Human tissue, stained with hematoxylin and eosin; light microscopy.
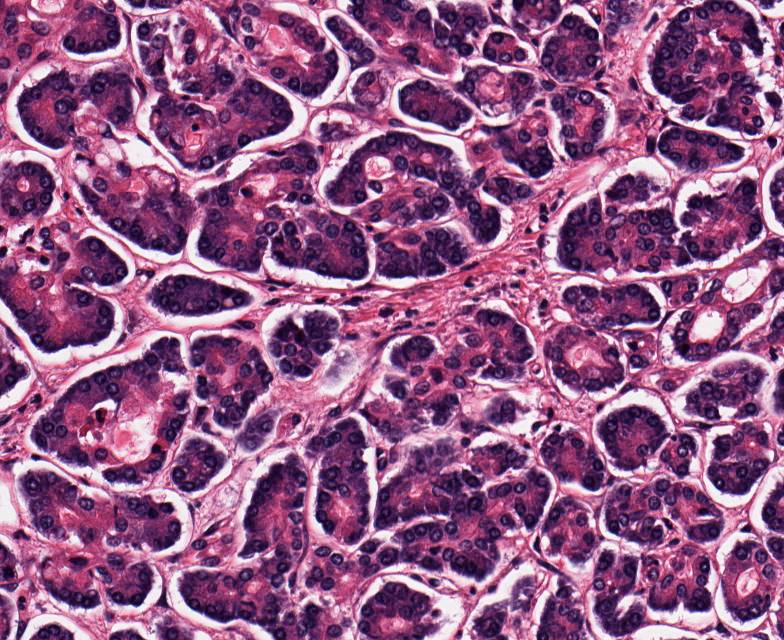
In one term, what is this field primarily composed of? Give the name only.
exocrine pancreas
